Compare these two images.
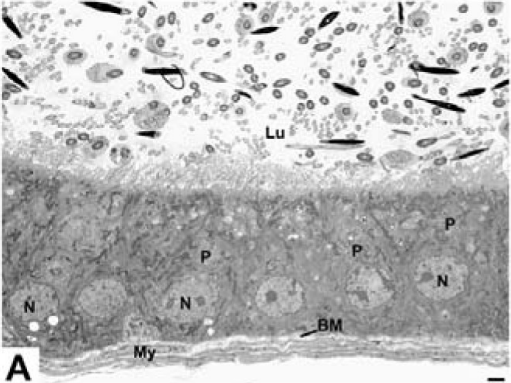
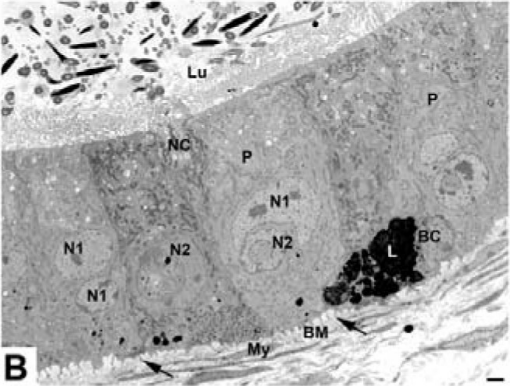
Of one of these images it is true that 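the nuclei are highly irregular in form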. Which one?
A: The second image.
